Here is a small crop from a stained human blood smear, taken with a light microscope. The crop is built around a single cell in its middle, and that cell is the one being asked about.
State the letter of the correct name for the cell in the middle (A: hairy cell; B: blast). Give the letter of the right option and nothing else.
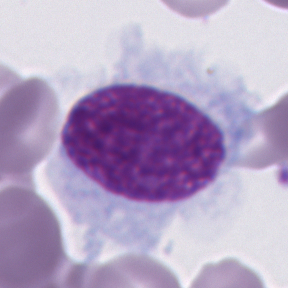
A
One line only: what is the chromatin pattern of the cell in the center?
Its chromatin is finely dispersed rather than coarsely clumped.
